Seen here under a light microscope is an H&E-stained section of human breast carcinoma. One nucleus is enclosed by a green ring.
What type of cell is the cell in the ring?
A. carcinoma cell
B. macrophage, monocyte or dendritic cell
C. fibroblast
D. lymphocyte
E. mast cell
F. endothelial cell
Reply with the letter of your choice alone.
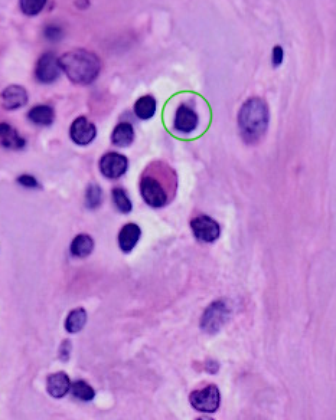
D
